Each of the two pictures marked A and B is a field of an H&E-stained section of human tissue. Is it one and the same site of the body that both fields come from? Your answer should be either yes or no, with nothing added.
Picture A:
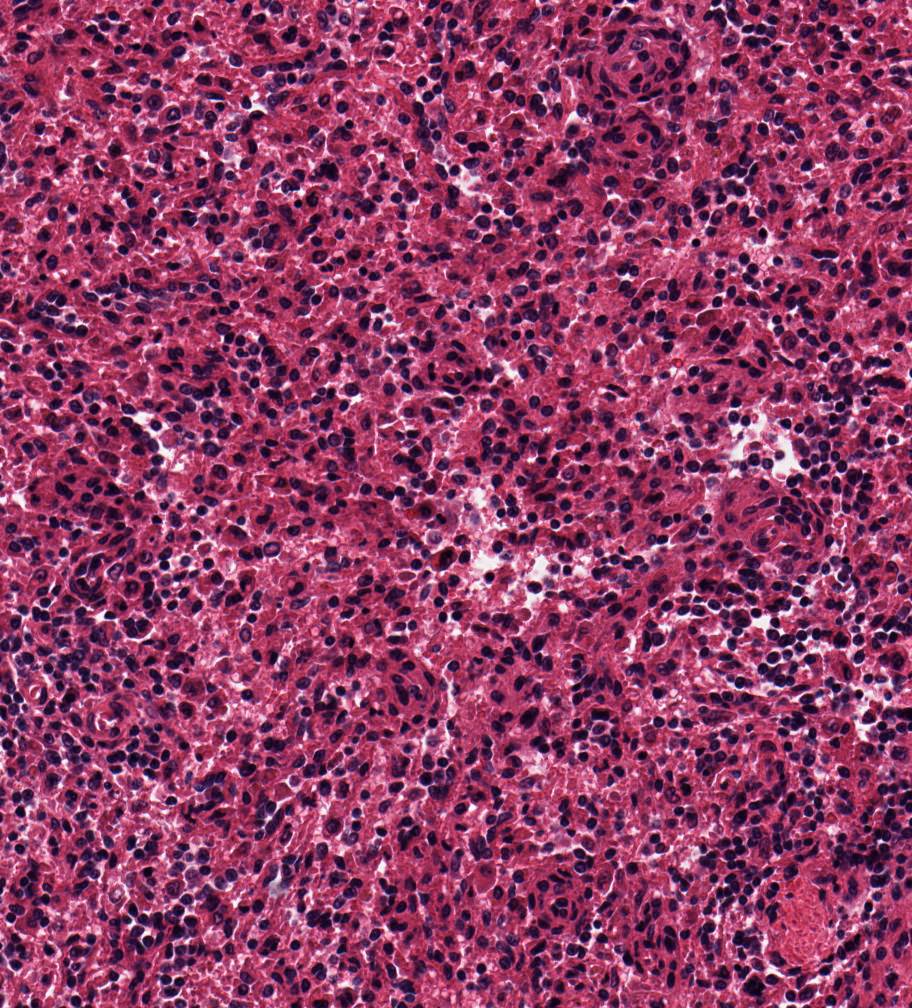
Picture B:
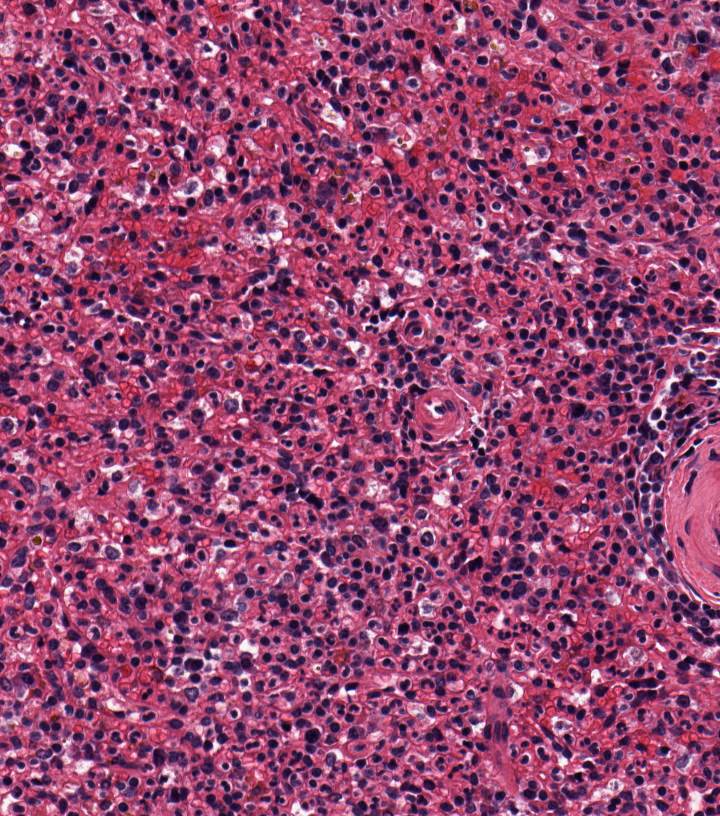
yes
